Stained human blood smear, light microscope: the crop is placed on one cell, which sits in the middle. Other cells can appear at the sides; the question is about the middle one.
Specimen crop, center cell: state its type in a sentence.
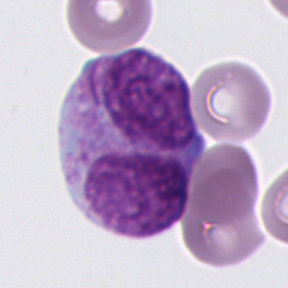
The cell in the exact centre of the crop is an atypical promyelocyte.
